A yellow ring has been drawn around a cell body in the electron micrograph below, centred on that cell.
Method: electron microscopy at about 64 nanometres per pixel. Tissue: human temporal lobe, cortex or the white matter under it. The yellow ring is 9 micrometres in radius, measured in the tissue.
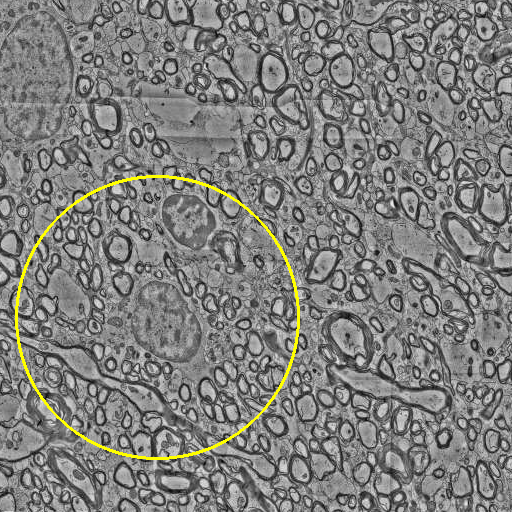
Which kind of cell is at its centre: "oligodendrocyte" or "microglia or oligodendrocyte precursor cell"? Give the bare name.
oligodendrocyte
